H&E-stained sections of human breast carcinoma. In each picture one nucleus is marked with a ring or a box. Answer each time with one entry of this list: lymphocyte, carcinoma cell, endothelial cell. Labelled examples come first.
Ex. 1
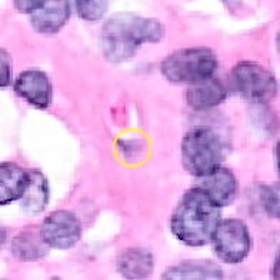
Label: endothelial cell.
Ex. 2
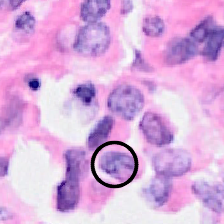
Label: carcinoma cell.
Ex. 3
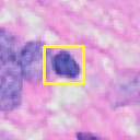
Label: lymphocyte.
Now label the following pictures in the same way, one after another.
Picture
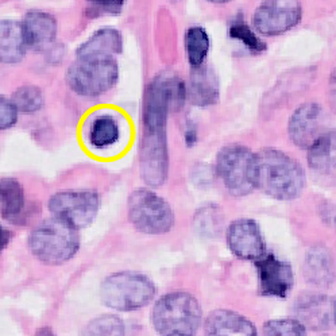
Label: lymphocyte.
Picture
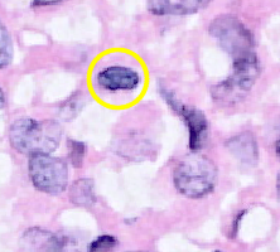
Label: lymphocyte.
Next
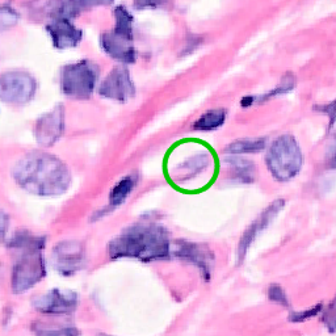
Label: endothelial cell.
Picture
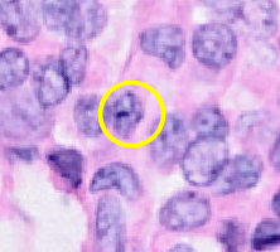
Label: endothelial cell.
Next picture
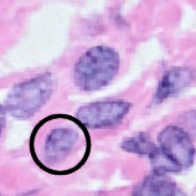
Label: carcinoma cell.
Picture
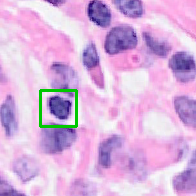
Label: lymphocyte.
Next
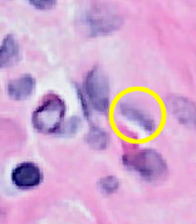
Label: endothelial cell.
